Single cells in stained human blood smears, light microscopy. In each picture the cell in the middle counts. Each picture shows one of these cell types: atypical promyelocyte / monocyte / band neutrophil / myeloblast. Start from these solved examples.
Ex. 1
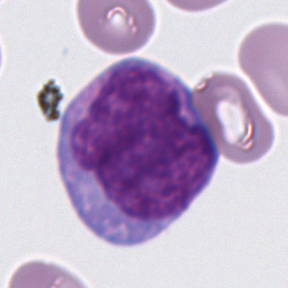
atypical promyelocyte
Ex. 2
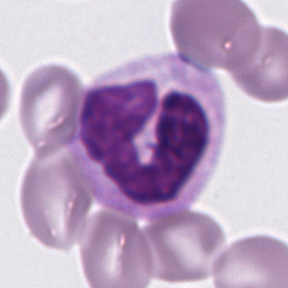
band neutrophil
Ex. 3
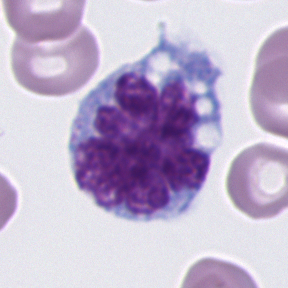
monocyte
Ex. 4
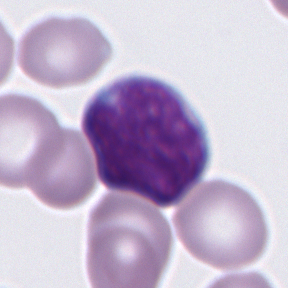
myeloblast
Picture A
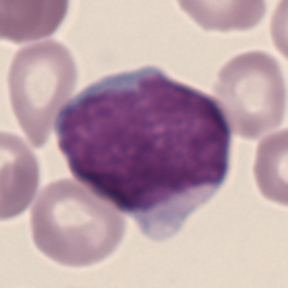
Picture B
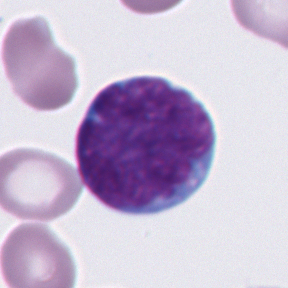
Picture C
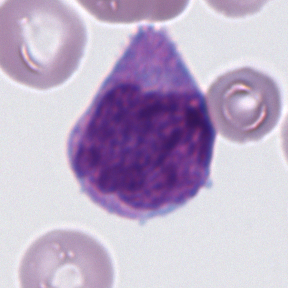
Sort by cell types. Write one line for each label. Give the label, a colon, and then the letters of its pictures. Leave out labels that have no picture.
atypical promyelocyte: C
myeloblast: A, B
